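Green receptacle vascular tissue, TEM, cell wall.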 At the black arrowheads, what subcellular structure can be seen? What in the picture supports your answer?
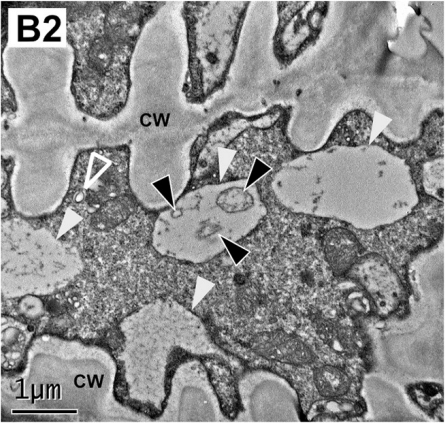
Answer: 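Small round membrane-bound vesicles sit within a pale rounded compartment. The vesicles have a distinct limiting membrane. That points to this answer: autophagic bodies.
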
